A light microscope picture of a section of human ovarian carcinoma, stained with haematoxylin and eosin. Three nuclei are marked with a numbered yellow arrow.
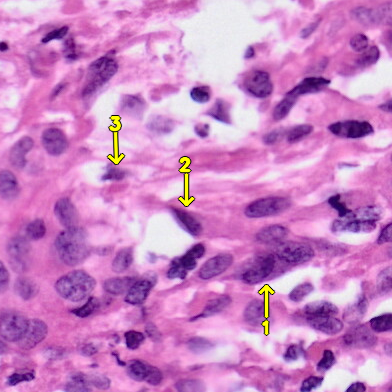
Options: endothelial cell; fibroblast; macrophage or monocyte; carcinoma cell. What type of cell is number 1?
carcinoma cell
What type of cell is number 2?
carcinoma cell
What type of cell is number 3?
fibroblast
